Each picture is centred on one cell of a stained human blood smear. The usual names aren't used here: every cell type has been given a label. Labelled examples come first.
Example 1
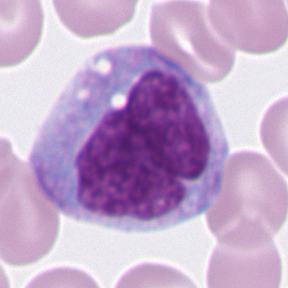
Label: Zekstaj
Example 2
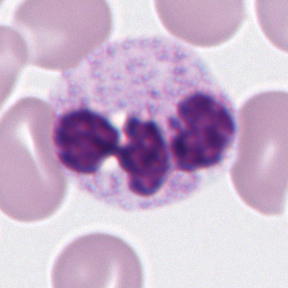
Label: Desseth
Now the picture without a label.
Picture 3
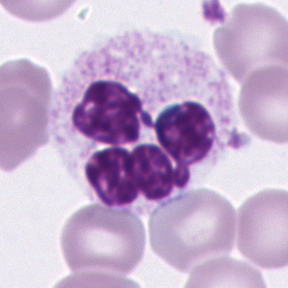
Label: Desseth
